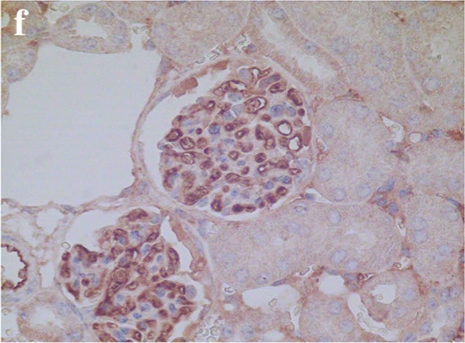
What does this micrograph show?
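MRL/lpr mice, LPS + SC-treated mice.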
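This section of renal cortex shows two glomeruli, the upper one set within a clear Bowman's space bounded by a thin capsule. The glomerular tufts are crowded with cells whose capillary loops and cytoplasm are stained dark brown, with blue nuclei in between. Around them lie tubules lined by cuboidal epithelial cells with faintly brown cytoplasm and round blue nuclei. A large empty space occupies the upper left of the field.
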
